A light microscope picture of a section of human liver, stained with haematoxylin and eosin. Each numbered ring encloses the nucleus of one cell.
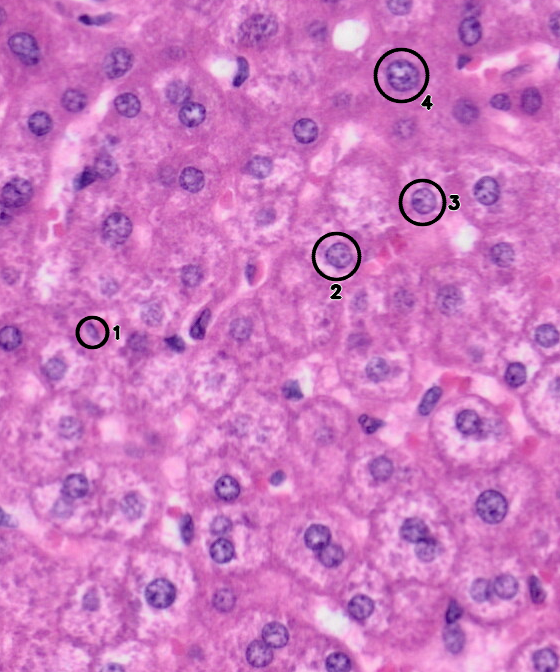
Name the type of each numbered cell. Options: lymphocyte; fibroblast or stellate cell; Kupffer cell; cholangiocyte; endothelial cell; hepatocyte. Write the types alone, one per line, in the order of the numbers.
endothelial cell
hepatocyte
hepatocyte
hepatocyte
